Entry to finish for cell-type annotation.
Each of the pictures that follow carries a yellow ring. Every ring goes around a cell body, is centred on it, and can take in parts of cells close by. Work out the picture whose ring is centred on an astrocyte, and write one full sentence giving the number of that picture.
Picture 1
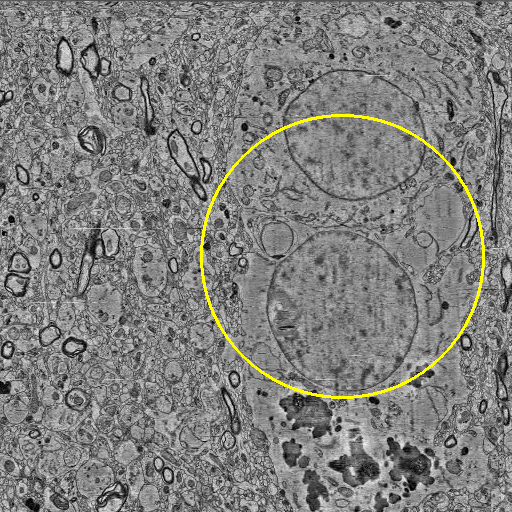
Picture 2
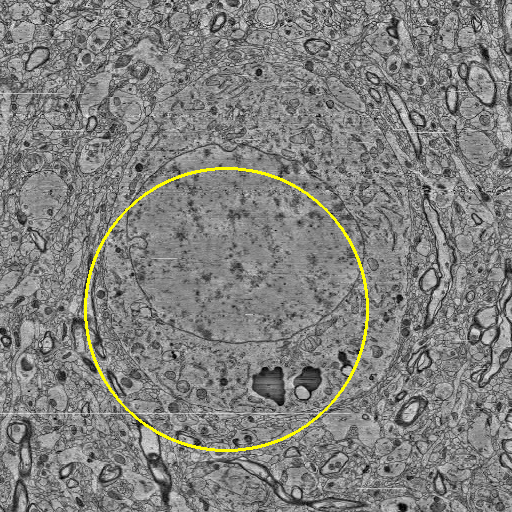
The cell at the heart of the ring in picture 1 matches the request.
